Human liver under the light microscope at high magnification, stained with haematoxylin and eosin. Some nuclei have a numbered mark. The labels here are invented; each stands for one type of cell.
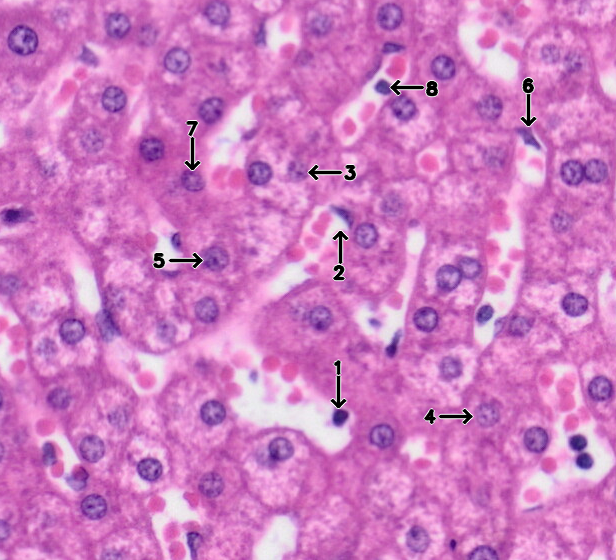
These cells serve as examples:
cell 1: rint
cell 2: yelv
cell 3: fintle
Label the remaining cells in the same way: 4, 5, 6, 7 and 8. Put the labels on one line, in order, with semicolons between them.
fintle; fintle; yelv; fintle; rint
